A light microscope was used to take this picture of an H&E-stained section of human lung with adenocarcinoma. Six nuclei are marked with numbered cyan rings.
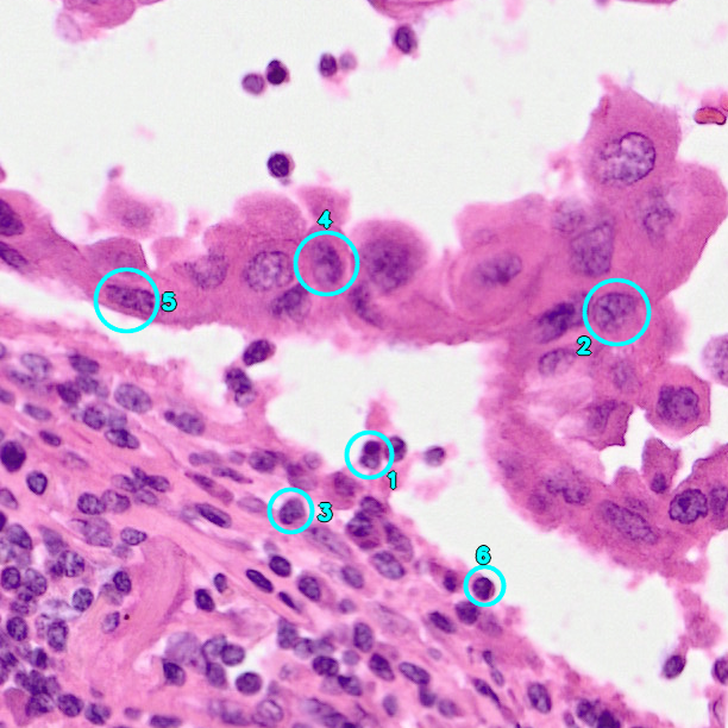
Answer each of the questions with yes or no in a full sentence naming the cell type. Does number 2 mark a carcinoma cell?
Yes, so the cell at label 2 is a carcinoma cell.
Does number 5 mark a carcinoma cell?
Yes, among the marked cells, the one with number 5 is a carcinoma cell.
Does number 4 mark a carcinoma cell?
Yes, cell number 4 is classified as a carcinoma cell.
